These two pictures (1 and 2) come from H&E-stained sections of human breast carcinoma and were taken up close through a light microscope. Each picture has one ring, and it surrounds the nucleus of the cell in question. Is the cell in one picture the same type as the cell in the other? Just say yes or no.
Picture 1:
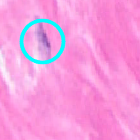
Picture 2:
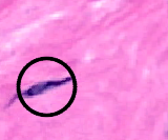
yes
